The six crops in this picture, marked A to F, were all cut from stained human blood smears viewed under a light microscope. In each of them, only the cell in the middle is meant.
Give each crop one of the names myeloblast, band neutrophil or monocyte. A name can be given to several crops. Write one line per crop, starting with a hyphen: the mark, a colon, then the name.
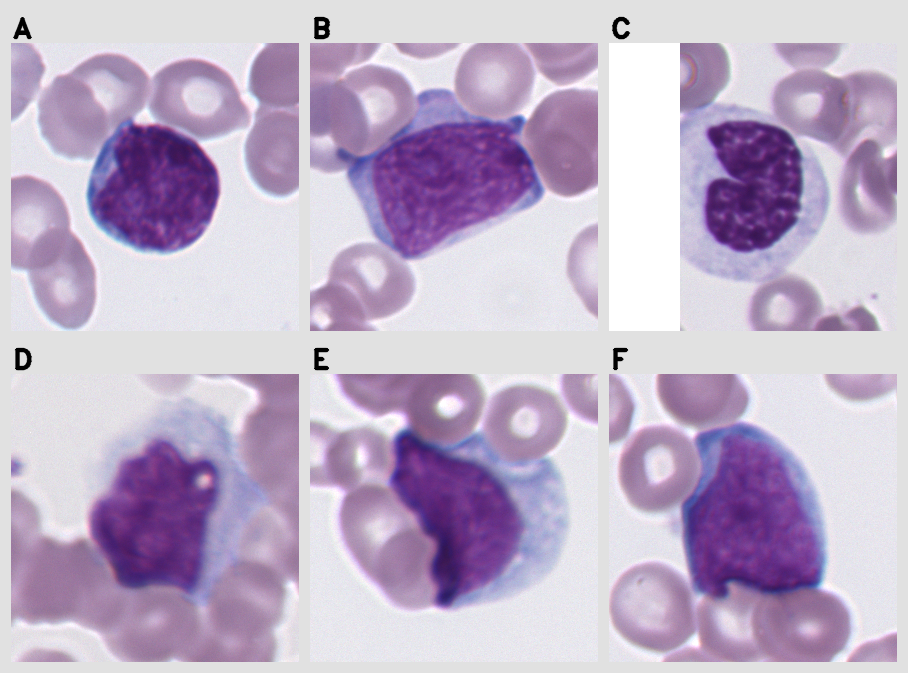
- A: myeloblast
- B: myeloblast
- C: band neutrophil
- D: monocyte
- E: myeloblast
- F: myeloblast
